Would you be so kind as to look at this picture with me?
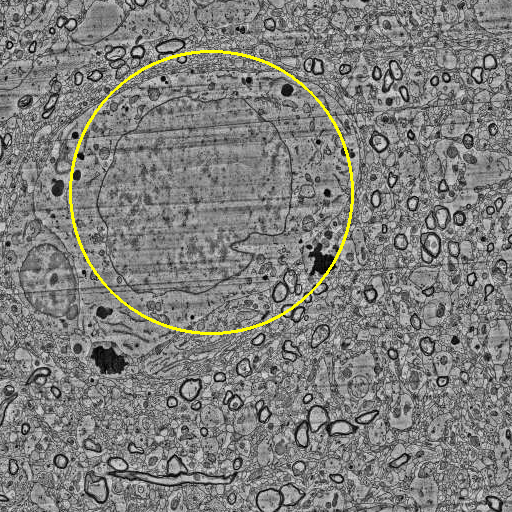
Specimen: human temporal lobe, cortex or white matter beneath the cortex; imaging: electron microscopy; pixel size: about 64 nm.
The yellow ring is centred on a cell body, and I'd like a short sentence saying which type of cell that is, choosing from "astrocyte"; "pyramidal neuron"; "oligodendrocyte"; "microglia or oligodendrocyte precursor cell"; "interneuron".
The cell body in the ring belongs to a pyramidal neuron.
